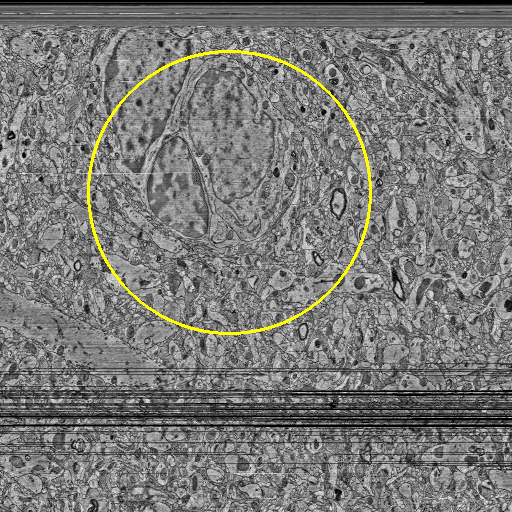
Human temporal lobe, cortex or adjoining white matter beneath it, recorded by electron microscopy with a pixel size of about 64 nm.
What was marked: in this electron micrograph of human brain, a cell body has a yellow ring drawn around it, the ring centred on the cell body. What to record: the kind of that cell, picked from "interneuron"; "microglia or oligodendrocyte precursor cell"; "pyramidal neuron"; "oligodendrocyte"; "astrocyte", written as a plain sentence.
The centred cell is an interneuron.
